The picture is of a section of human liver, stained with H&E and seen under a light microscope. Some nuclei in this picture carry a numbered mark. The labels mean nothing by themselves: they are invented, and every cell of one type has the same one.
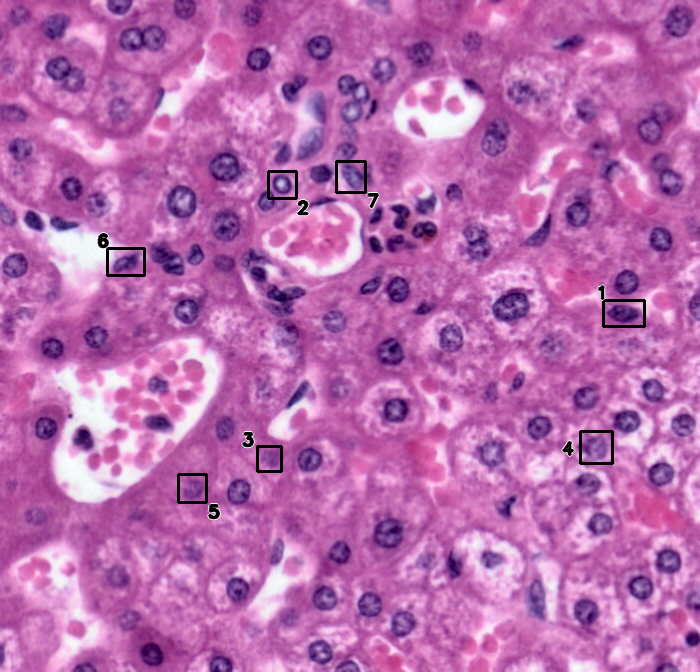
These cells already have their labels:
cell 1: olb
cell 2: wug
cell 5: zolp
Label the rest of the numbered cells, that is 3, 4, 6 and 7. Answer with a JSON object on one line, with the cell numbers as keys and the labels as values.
{"3": "zolp", "4": "zolp", "6": "olb", "7": "wug"}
